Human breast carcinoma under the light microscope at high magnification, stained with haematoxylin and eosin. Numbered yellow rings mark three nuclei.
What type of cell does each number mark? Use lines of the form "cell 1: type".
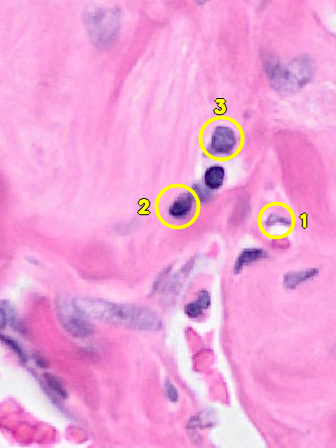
cell 1: endothelial cell
cell 2: lymphocyte
cell 3: lymphocyte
